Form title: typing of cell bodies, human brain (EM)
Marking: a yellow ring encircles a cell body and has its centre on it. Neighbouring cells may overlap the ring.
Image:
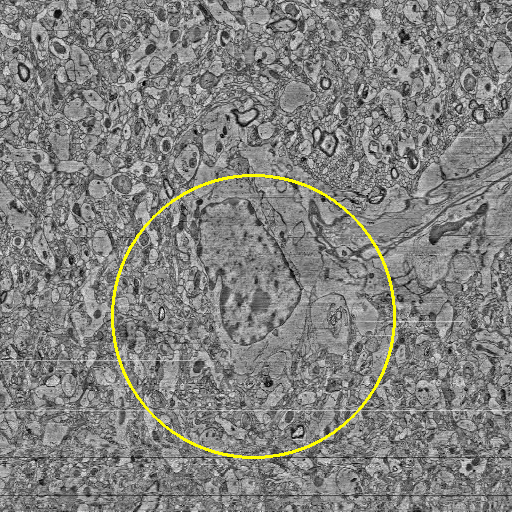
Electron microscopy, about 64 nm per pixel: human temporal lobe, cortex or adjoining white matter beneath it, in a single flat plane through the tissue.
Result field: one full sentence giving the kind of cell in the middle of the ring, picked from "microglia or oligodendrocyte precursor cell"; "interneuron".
In the picture, the ring is centred on a microglial cell or oligodendrocyte precursor cell, whose cell body it encircles.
